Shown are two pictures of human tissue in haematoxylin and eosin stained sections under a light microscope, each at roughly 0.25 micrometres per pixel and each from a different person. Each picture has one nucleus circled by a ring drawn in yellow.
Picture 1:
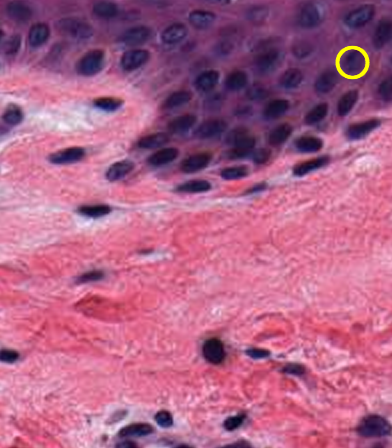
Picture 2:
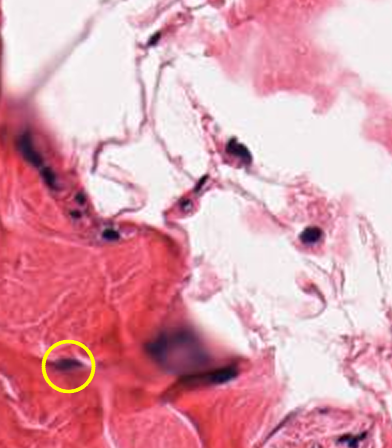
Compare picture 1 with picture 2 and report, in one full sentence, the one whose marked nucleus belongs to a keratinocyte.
Marked in picture 1 is the nucleus of a keratinocyte.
